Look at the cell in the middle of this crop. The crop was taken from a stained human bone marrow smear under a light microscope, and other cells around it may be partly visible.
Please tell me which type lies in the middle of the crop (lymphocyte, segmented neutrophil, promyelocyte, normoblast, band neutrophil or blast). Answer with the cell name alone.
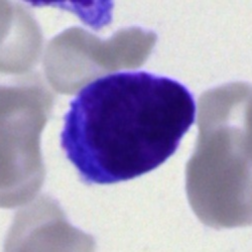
blast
